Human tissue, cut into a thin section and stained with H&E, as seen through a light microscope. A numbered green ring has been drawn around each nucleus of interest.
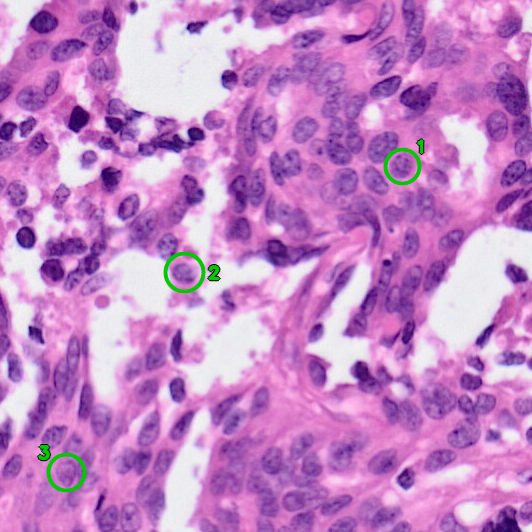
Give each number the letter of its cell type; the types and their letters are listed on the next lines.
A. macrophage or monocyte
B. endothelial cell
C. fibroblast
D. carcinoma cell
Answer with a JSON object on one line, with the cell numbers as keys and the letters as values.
{"1": "D", "2": "A", "3": "D"}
